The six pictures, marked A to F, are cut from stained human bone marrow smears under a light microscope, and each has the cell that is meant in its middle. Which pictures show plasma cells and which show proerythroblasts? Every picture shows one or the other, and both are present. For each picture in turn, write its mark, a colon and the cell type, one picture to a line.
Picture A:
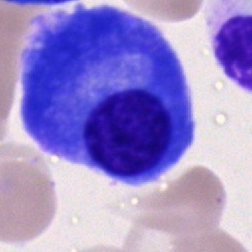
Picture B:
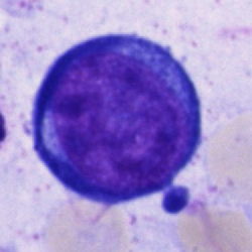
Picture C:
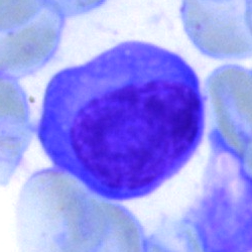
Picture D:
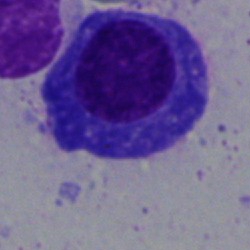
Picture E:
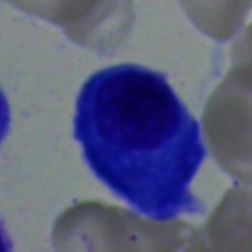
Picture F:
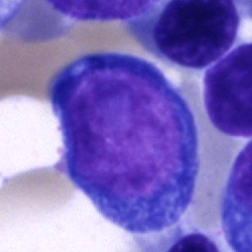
A: plasma cell
B: proerythroblast
C: plasma cell
D: plasma cell
E: plasma cell
F: proerythroblast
